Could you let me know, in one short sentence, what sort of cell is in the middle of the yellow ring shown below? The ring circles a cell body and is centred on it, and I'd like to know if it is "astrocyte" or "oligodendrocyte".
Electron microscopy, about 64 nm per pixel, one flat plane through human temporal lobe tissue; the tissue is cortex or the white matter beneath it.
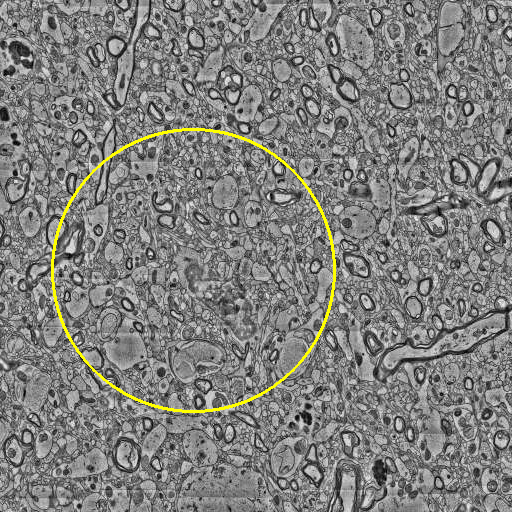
The ring circles the cell body of an oligodendrocyte.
